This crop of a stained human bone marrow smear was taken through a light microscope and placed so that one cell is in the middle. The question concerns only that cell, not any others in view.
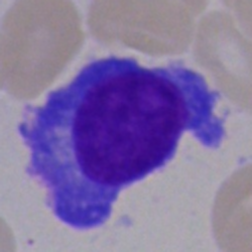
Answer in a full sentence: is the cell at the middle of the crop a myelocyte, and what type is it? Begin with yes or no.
No, that guess of a myelocyte misses; the central cell is a plasma cell.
